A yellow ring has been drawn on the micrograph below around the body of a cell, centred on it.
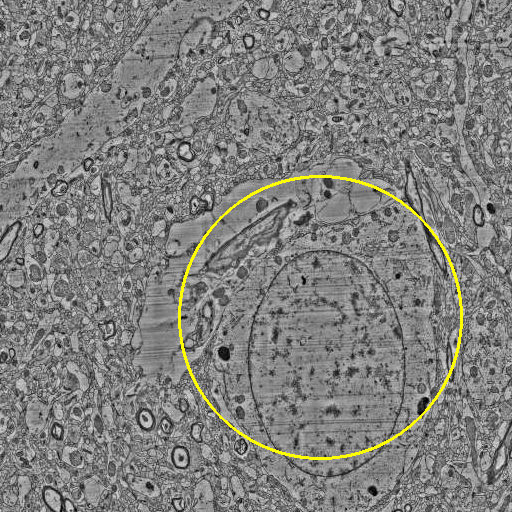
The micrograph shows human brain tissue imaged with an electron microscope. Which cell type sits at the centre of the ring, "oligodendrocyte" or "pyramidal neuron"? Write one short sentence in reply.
The cell sitting at the centre of the ring is a pyramidal neuron.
